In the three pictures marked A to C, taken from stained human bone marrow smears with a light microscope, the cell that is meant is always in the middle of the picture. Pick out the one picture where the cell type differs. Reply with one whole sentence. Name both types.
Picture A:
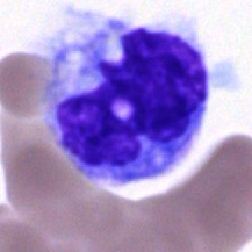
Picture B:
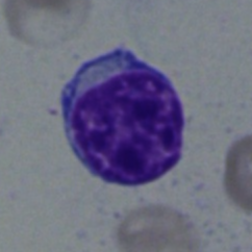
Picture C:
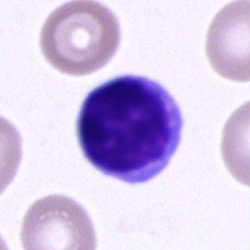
The different one is picture A; it shows a monocyte, whereas all the others show lymphocytes.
